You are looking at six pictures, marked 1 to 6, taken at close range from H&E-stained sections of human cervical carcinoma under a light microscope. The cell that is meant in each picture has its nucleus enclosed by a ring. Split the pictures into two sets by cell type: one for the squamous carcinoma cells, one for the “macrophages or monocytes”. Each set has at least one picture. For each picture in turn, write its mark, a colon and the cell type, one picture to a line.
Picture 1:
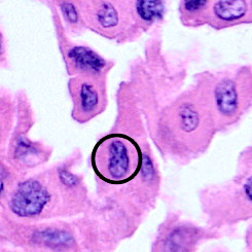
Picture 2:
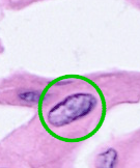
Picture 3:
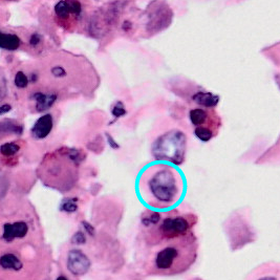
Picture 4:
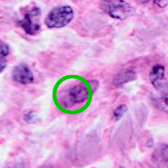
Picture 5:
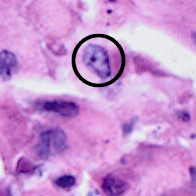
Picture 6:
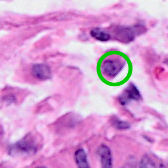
1: squamous carcinoma cell
2: squamous carcinoma cell
3: squamous carcinoma cell
4: macrophage or monocyte
5: macrophage or monocyte
6: macrophage or monocyte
